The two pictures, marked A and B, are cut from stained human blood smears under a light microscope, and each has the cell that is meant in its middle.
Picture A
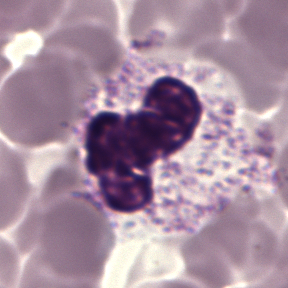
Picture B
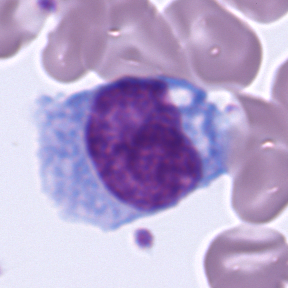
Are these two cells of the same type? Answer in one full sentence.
No; the cell in picture A is a segmented neutrophil, while the one in picture B is a monocyte.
